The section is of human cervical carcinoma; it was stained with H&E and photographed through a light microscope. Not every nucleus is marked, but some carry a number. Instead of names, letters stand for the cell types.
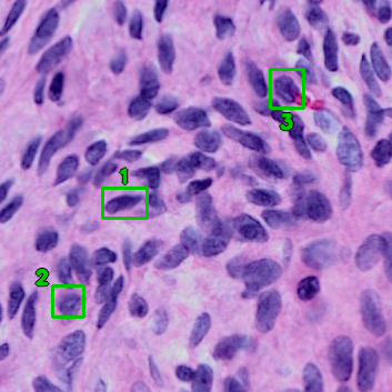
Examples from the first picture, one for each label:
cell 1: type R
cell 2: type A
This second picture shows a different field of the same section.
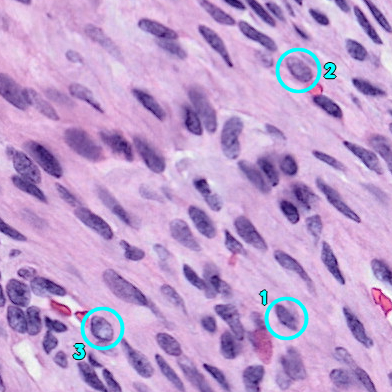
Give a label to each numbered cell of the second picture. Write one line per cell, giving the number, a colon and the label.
1: type R
2: type A
3: type A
